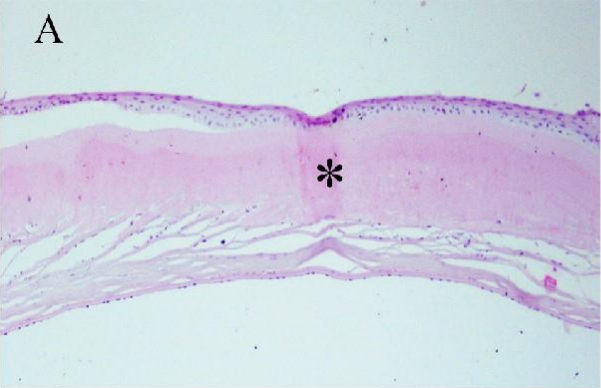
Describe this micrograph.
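This section of cornea shows a thin surface epithelium resting on a thick band of amorphous, eosinophilic material in the sub epithelial area, above the lamellar stroma. The epithelium is only a few cell layers thick, with small dark nuclei, and it dips down where it crosses the middle of the field. Beneath it, the pale pink band is homogeneous and nearly free of nuclei, lacking the parallel fibres of normal stroma. Deeper down, the stroma is made of thin, wavy collagen lamellae separated by clear clefts, with sparse flattened keratocyte nuclei lying between them. A narrow clear gap separates the epithelium from the band over much of its length.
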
